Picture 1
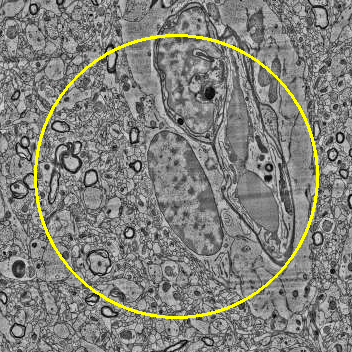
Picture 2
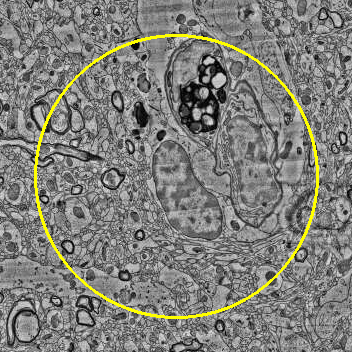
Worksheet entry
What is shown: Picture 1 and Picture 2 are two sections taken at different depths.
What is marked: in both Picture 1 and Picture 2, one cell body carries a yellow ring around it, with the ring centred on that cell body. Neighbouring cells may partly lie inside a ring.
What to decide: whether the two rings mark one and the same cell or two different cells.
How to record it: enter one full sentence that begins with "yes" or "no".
Yes, both yellow rings mark one and the same cell.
